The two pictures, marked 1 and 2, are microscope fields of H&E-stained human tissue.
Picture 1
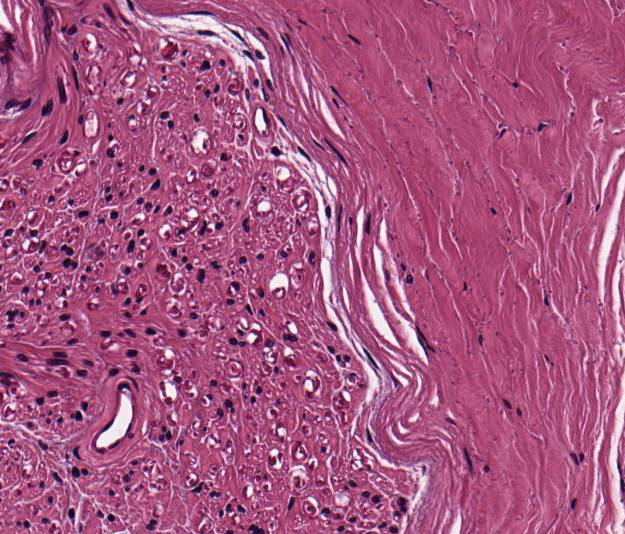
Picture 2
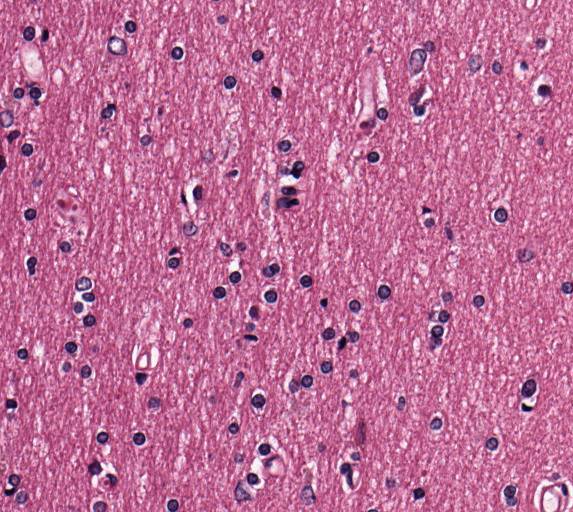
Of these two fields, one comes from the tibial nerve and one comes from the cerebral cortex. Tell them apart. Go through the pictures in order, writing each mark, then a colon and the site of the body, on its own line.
1: tibial nerve
2: cerebral cortex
